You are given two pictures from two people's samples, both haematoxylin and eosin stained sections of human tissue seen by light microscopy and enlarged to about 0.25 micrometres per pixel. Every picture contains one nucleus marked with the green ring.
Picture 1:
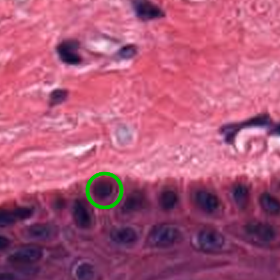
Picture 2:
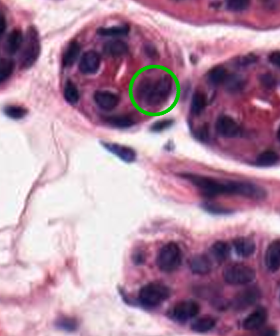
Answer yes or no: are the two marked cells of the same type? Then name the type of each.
No, the first is a keratinocyte and the second a sweat gland cell.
